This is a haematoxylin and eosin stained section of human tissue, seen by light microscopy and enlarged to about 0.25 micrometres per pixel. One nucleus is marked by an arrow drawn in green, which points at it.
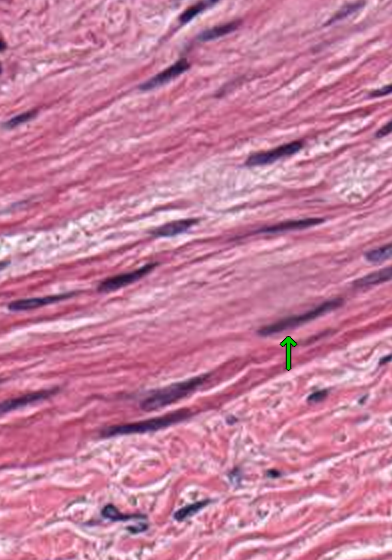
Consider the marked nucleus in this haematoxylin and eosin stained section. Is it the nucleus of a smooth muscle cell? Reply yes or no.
yes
